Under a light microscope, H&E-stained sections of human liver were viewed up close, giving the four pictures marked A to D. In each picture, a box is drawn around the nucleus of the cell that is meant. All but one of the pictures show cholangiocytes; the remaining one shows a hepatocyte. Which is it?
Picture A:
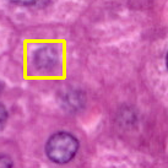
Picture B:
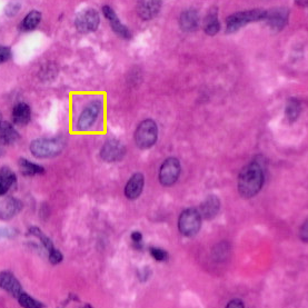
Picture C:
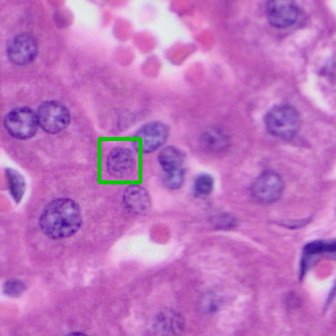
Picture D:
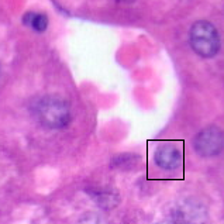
A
